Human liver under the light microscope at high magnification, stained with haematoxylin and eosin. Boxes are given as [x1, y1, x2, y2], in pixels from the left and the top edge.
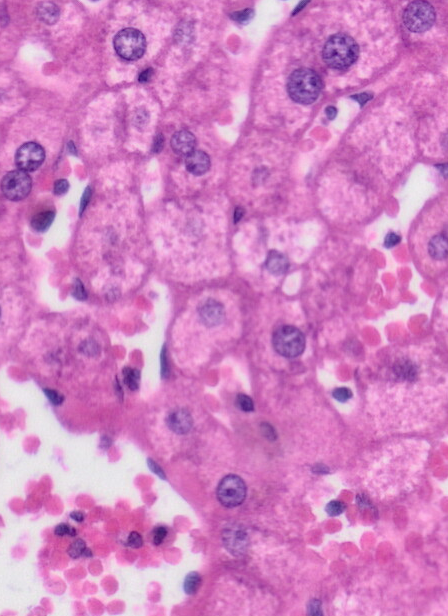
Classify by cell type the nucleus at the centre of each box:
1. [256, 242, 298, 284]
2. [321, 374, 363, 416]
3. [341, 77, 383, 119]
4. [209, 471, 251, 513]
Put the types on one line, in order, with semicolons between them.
hepatocyte; lymphocyte; endothelial cell; hepatocyte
